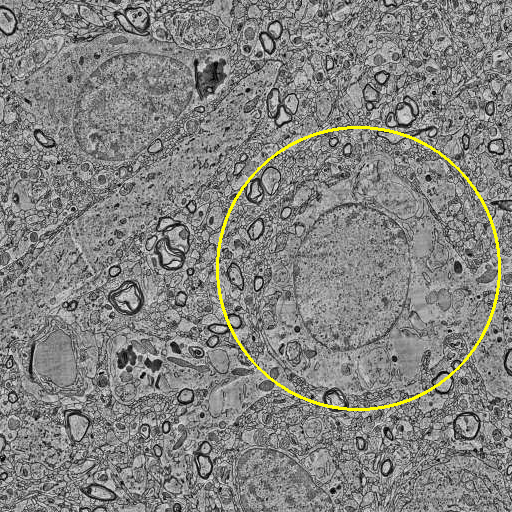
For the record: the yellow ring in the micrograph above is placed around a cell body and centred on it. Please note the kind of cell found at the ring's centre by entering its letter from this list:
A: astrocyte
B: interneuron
A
